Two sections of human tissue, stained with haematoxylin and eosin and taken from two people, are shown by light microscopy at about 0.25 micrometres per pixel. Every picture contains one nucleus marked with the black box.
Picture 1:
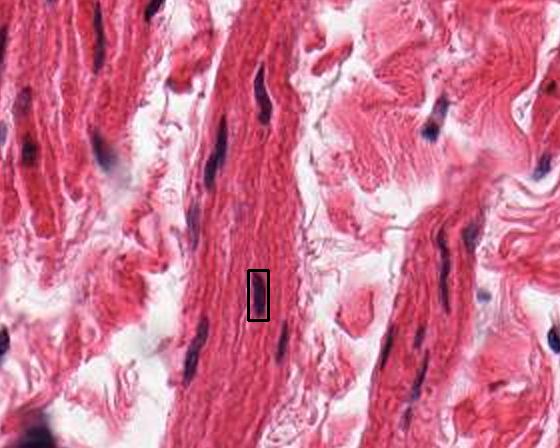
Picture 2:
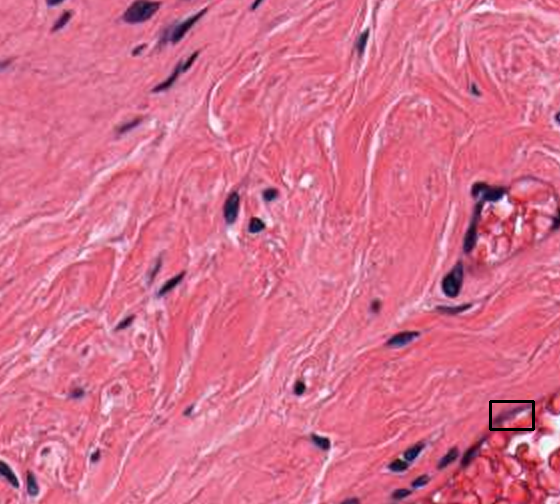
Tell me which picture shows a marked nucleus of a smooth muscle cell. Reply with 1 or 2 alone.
1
